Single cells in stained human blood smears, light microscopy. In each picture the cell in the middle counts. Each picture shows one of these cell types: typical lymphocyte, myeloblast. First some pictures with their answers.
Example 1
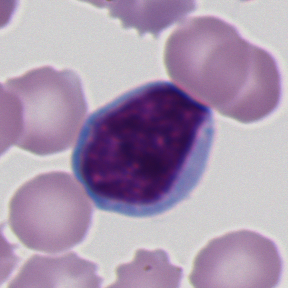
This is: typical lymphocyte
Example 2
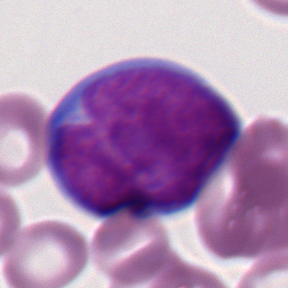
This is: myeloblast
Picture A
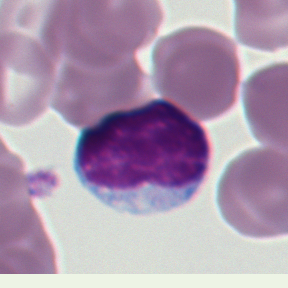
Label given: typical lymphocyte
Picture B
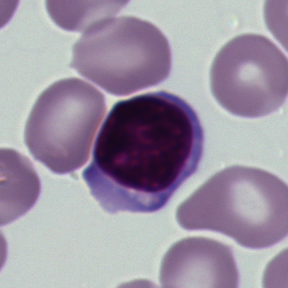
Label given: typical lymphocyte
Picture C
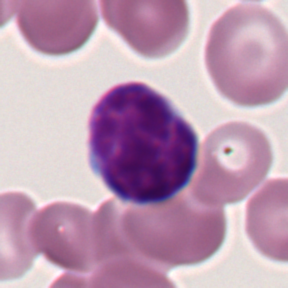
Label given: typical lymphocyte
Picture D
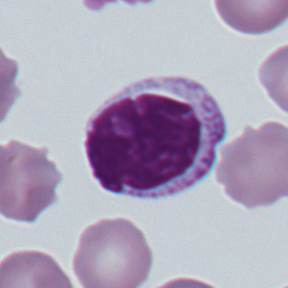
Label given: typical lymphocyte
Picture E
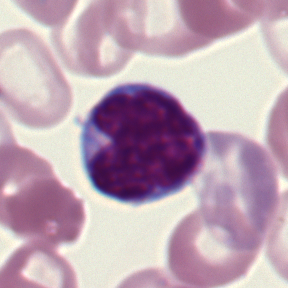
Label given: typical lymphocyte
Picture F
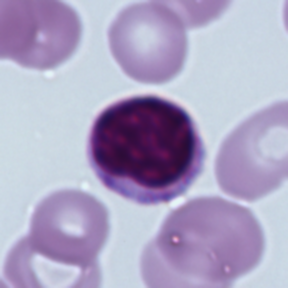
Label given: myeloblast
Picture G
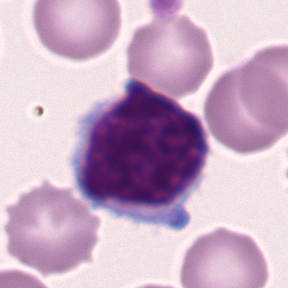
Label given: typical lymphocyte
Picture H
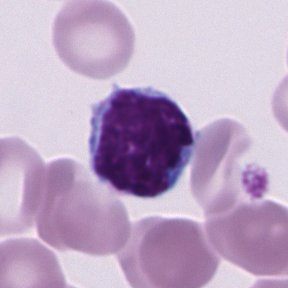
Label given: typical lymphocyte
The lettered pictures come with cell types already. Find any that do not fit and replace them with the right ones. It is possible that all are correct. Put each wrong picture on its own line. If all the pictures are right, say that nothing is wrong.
F: not myeloblast but typical lymphocyte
